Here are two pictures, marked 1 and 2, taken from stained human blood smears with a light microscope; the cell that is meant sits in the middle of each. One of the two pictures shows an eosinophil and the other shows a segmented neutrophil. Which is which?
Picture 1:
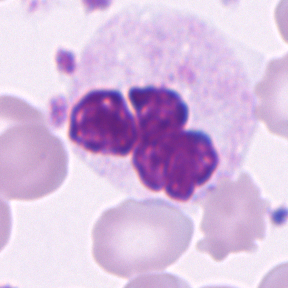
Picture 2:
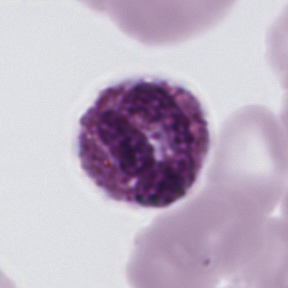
1: segmented neutrophil
2: eosinophil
